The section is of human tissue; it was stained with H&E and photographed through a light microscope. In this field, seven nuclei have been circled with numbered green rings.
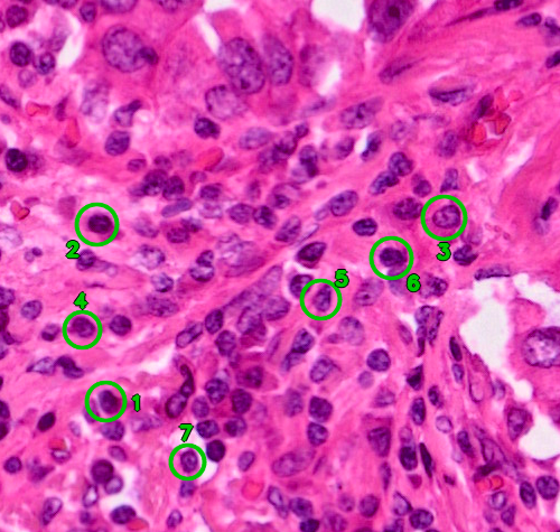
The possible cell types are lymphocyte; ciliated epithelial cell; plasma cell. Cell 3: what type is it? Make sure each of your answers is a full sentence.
Cell 3 in the field of view is a plasma cell.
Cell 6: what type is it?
The cell referenced by the number 6 is a lymphocyte in this field.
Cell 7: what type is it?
The mark numbered 7 indicates the nucleus of a lymphocyte.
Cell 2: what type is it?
The cell pointed out as number 2 is a plasma cell.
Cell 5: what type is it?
Among the marked cells, number 5 is a lymphocyte.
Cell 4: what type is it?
The cell that is numbered 4 is a plasma cell.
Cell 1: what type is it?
Nucleus 1 in this section belongs to a plasma cell.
